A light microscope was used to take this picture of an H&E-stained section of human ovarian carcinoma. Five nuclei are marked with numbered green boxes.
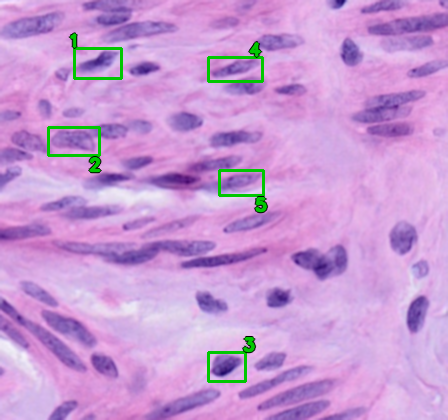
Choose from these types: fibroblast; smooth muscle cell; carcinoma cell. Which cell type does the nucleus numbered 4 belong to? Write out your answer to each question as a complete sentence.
The cell that bears the number 4 is a smooth muscle cell.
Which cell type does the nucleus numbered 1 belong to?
The cell tagged with 1 in this tissue section is a fibroblast.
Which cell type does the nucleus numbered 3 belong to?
Cell 3, as marked in the section, is a fibroblast.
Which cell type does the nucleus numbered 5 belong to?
Heads up, the cell numbered 5 is a smooth muscle cell.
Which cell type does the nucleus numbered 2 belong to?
The identity of cell 2 is that of a smooth muscle cell.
